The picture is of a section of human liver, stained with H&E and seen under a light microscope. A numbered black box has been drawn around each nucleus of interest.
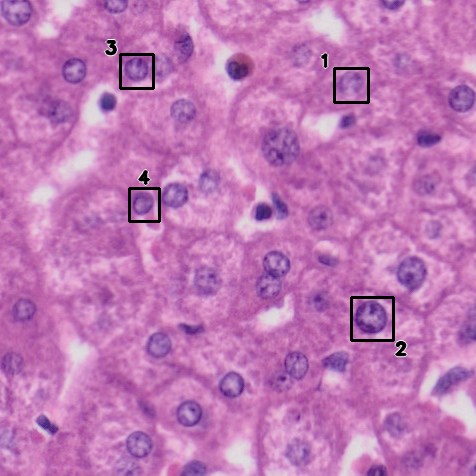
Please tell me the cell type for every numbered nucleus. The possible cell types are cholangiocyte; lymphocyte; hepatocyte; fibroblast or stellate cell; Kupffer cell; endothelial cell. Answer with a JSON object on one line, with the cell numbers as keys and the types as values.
{"1": "hepatocyte", "2": "hepatocyte", "3": "hepatocyte", "4": "Kupffer cell"}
